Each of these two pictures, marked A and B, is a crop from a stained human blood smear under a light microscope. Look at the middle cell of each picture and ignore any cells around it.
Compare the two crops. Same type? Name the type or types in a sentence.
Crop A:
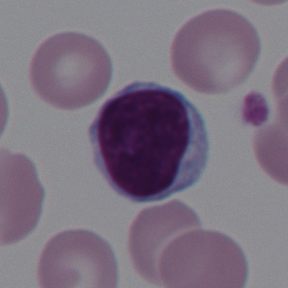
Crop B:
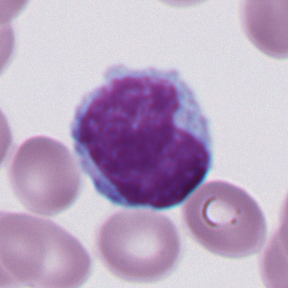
Yes, in the case of both crops, the central cells are typical lymphocytes.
